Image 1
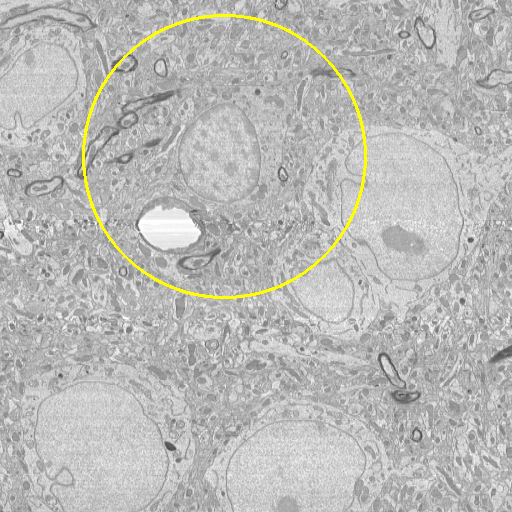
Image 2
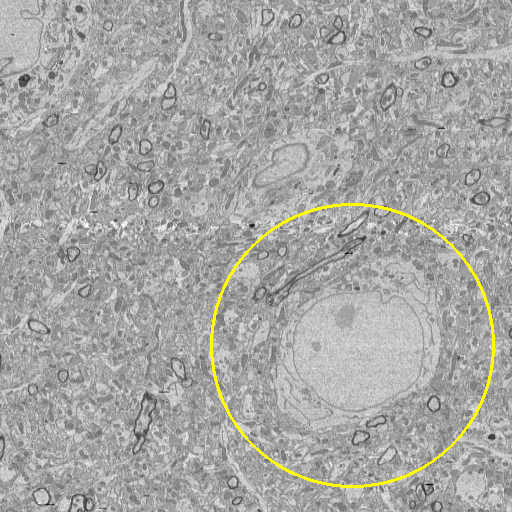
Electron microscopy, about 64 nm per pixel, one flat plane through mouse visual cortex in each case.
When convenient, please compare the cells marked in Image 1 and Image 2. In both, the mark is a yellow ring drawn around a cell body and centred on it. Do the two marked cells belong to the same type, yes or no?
no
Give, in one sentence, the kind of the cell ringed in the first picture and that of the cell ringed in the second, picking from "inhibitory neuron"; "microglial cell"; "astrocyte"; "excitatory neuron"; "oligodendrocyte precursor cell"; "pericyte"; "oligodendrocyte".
For the first picture it is an oligodendrocyte; for the second, an excitatory neuron.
